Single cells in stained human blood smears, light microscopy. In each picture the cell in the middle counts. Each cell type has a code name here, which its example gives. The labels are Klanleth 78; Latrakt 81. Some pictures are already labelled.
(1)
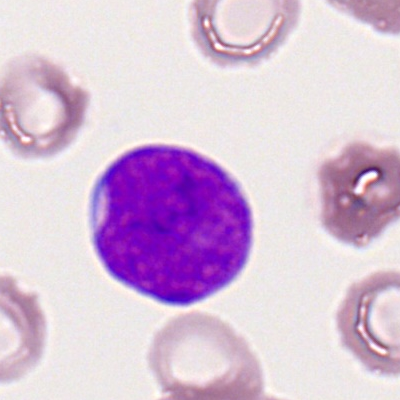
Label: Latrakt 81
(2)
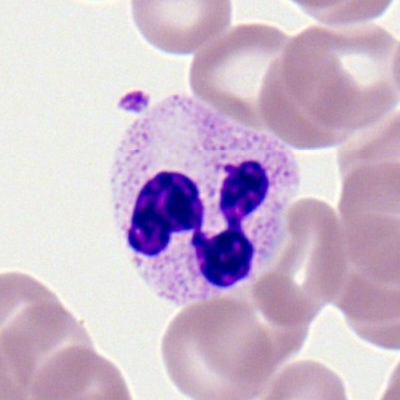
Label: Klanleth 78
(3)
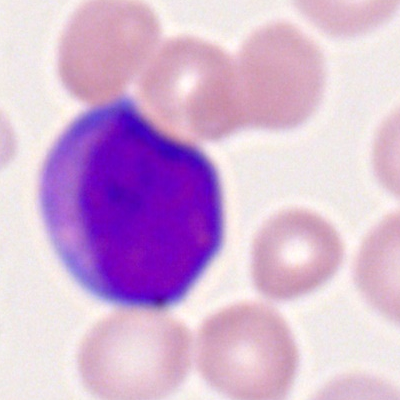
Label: Latrakt 81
